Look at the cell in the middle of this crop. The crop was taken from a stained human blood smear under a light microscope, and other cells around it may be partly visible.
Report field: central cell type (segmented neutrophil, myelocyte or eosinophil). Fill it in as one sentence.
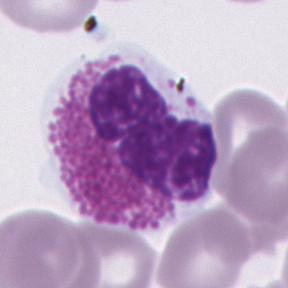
In the middle of this smear crop is an eosinophil.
